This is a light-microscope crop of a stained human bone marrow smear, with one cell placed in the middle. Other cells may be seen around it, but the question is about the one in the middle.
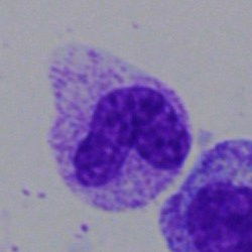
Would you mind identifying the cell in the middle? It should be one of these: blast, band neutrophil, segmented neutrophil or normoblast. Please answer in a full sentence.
The cell marked by its central position in the crop is a band neutrophil.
